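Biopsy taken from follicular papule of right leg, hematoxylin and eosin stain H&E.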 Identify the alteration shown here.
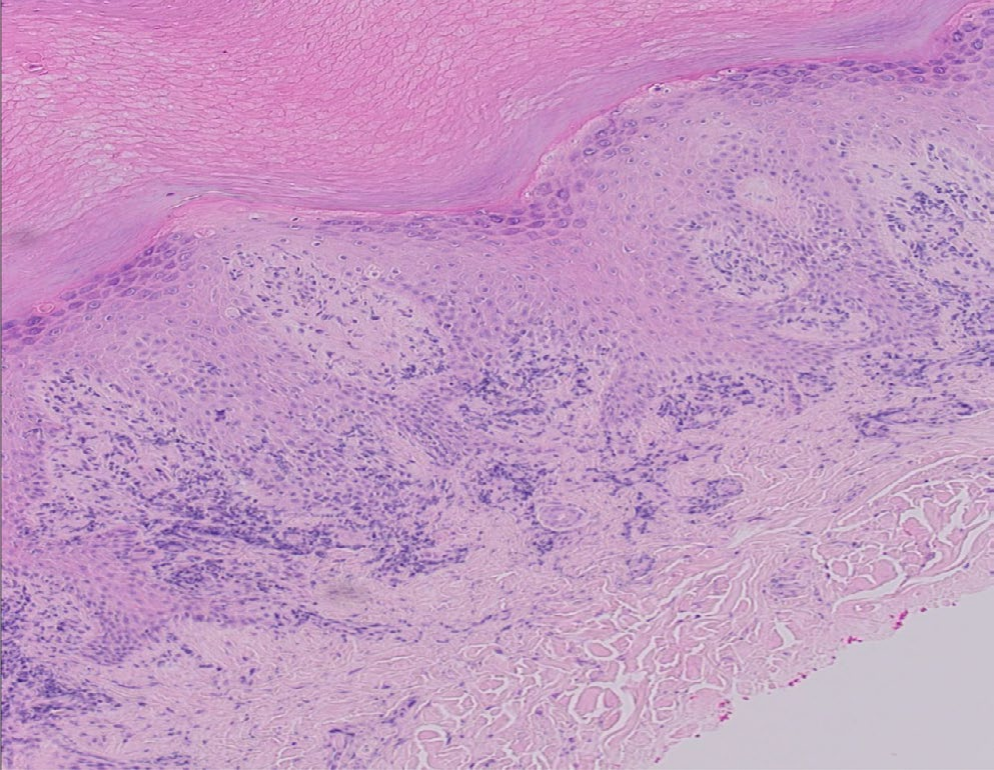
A: Orthokeratosis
